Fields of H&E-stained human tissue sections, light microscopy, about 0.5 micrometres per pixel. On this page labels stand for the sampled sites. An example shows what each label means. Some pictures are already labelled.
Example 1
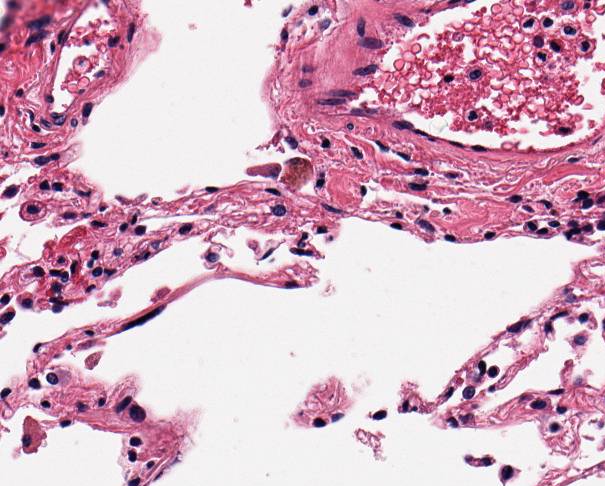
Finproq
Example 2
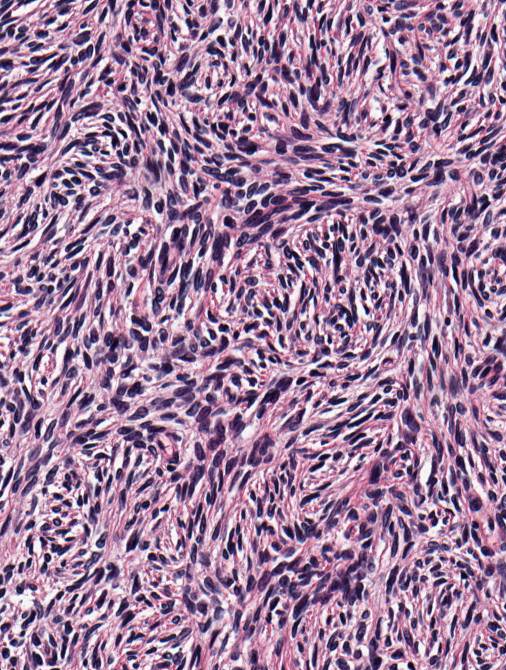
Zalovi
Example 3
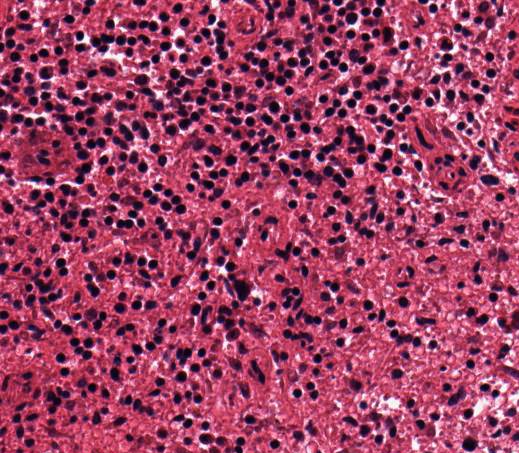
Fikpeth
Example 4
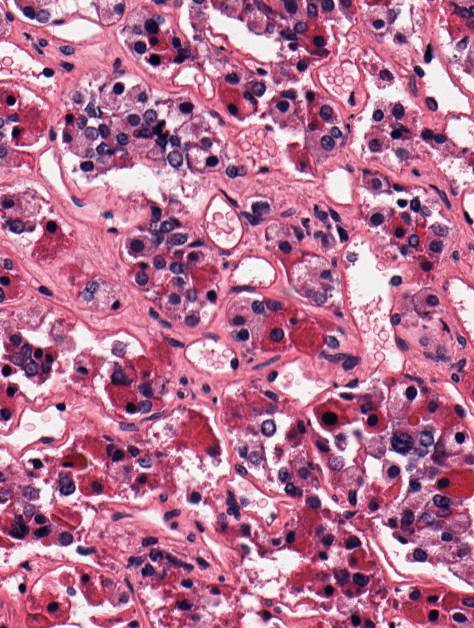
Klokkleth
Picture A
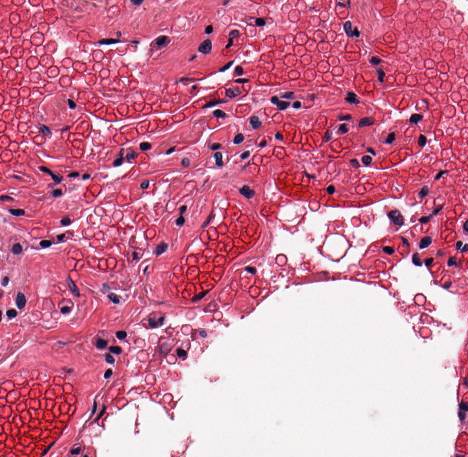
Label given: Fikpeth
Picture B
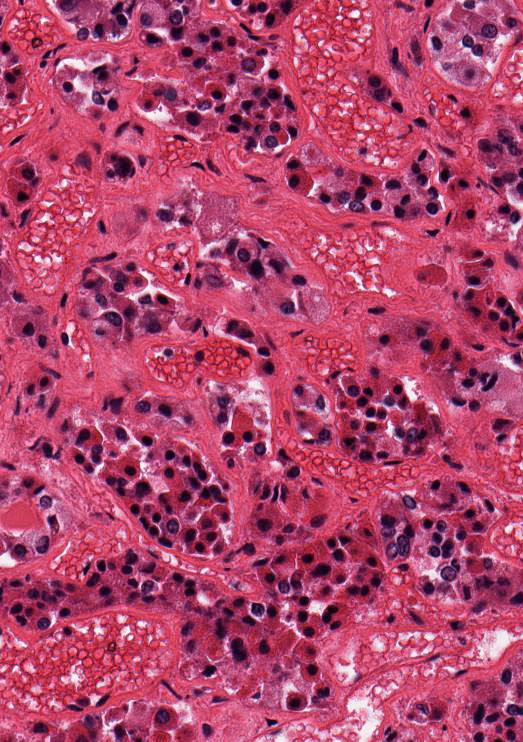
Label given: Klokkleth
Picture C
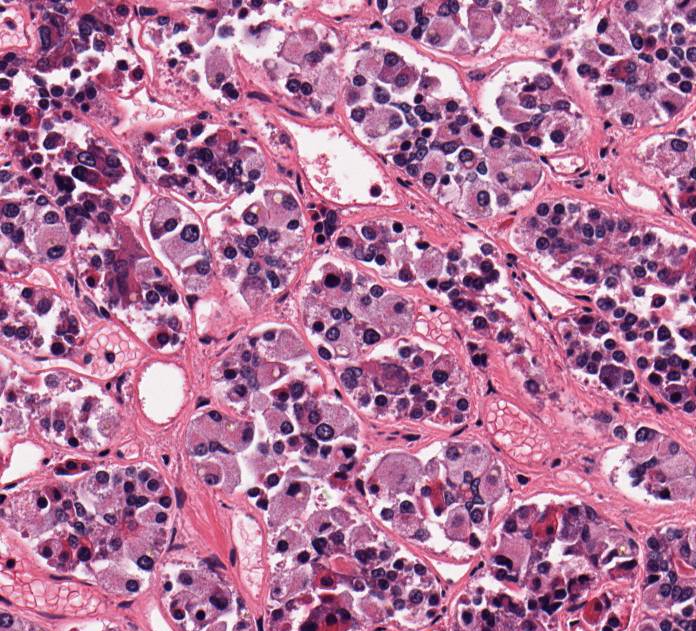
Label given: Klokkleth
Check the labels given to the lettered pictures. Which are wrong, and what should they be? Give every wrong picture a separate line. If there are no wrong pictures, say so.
Wrong: A (Fikpeth); correct: Finproq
